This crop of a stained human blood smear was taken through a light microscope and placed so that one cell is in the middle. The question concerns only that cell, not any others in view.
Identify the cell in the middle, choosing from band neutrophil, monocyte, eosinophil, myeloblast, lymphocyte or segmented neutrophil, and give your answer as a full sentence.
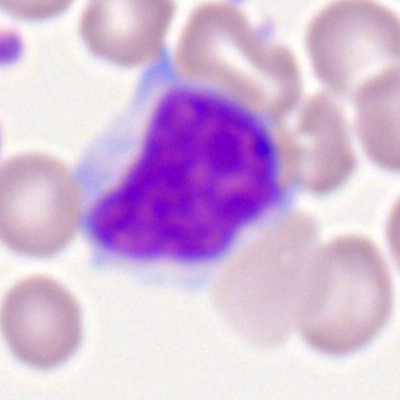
The cell of interest, in the center, is a lymphocyte.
